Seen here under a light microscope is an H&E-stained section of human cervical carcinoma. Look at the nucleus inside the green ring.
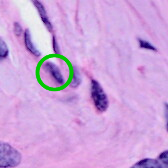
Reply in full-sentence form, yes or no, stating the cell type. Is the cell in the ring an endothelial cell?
Yes, the cell in the ring qualifies as an endothelial cell in this section.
